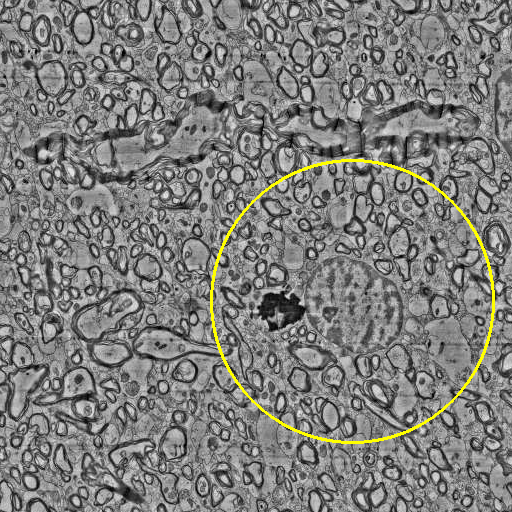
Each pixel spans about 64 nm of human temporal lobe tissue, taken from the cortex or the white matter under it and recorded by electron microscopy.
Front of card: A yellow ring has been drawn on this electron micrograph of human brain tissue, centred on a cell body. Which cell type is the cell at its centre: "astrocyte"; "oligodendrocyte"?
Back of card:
oligodendrocyte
